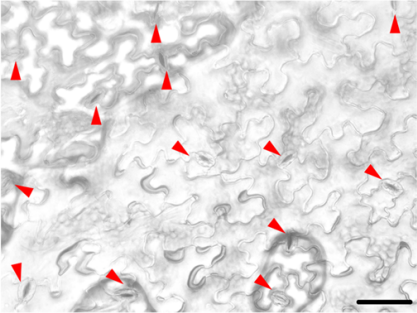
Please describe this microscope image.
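This is a surface view of a leaf epidermis, with stomata scattered among the pavement cells. The pavement cells have wavy, interlocking walls that give them a jigsaw-puzzle outline. The stomata are spaced apart from one another rather than clustered. Out of focus beneath the epidermis, groups of small rounded bodies can be made out.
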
